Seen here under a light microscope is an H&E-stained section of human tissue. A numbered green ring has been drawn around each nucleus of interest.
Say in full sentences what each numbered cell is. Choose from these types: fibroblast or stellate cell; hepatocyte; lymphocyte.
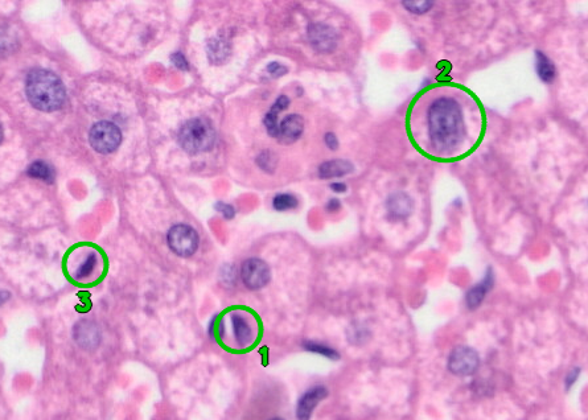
Cells 1 and 3 are fibroblasts or stellate cells. Cell 2 is a hepatocyte.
